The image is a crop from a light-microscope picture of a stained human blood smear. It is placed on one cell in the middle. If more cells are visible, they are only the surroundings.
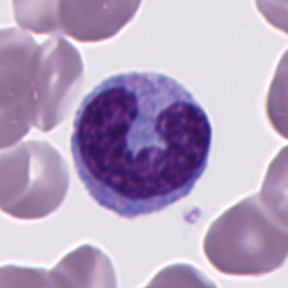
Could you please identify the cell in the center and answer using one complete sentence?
The central cell, amid any neighbouring cells, is a monocyte.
